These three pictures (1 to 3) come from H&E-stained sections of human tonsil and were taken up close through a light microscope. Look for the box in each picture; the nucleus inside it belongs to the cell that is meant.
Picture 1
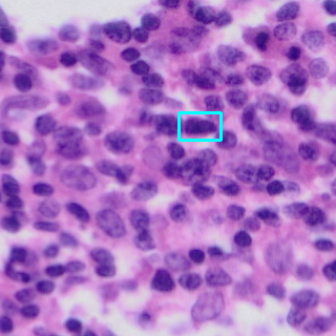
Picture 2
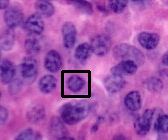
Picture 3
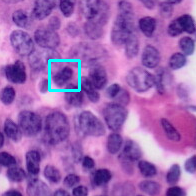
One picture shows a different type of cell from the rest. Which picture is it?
2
